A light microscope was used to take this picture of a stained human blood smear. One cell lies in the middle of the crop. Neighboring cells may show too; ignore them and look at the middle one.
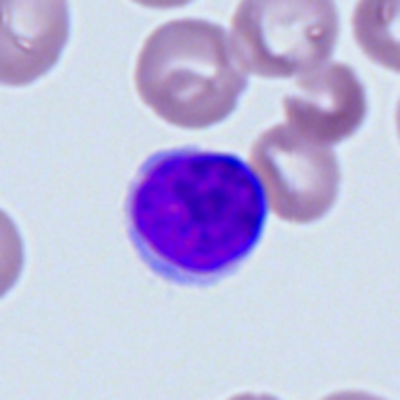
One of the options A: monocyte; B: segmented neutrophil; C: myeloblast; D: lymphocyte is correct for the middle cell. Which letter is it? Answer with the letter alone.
D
